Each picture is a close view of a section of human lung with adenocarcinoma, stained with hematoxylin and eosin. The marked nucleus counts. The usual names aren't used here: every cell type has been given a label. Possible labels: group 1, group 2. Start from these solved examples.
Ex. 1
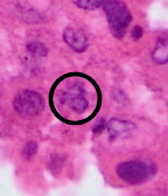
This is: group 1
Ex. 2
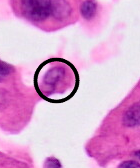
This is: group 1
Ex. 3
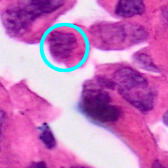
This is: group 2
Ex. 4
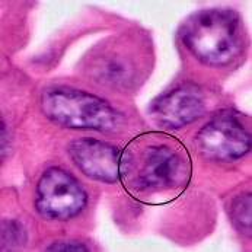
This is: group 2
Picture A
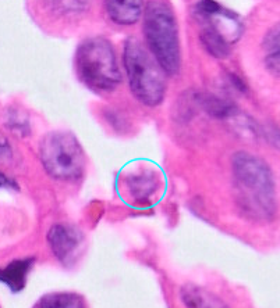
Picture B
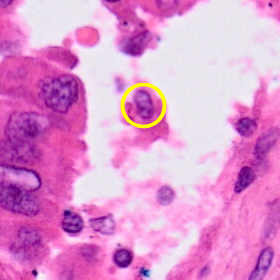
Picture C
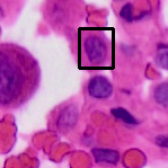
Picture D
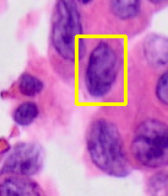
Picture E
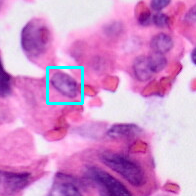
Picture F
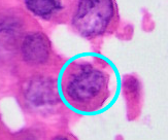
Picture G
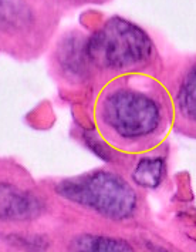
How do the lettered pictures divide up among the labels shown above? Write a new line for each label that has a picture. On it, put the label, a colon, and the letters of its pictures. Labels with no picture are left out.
group 1: A, B, C, E
group 2: D, F, G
